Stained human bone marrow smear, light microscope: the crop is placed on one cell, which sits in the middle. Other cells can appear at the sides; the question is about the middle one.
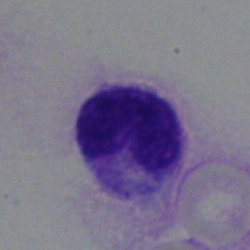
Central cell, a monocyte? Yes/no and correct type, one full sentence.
No, rather than a monocyte, the central cell is a band neutrophil.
